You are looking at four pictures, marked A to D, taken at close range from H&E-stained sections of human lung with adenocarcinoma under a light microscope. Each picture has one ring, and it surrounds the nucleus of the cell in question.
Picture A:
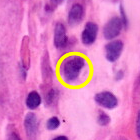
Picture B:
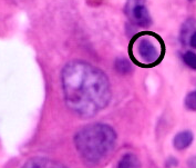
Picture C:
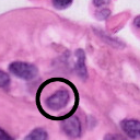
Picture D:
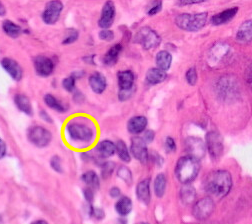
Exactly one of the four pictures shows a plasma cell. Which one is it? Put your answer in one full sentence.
The cell in picture A is the plasma cell.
